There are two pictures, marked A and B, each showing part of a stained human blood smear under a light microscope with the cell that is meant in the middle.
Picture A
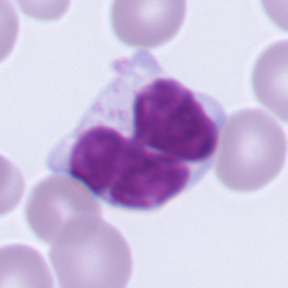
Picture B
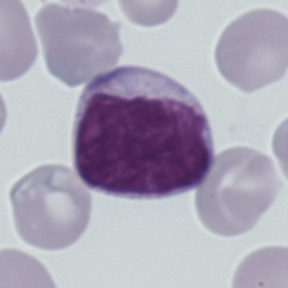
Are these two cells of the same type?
yes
